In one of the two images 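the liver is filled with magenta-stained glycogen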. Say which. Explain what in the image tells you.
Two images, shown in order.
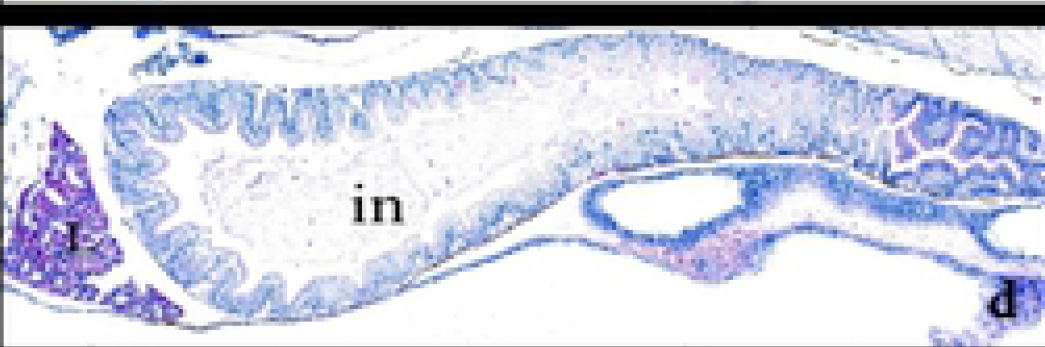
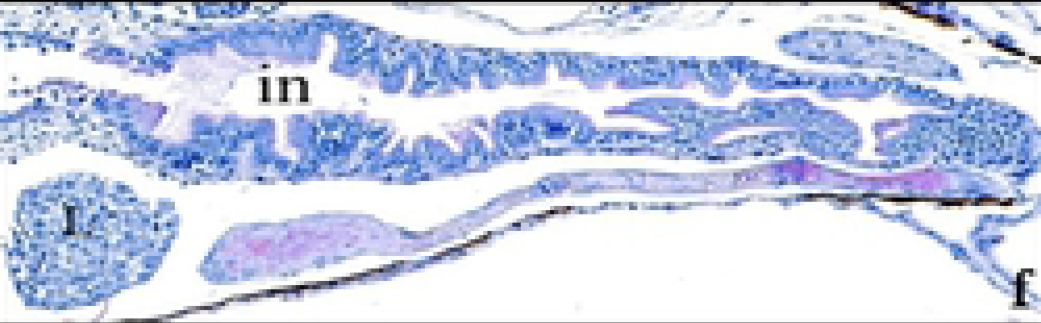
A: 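Second image: the rounded organ at the lower left stains blue with no magenta. First image: the organ at the left edge stains deep magenta-purple.
Conclusion: the first image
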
